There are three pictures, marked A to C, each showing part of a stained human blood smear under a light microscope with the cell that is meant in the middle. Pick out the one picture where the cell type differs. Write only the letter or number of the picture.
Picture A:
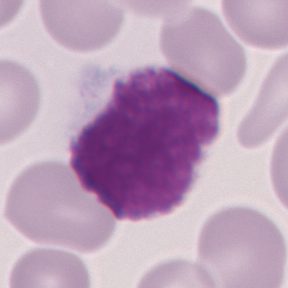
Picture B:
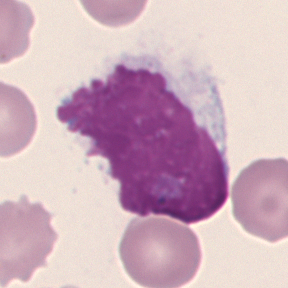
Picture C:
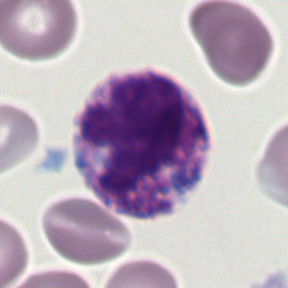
C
